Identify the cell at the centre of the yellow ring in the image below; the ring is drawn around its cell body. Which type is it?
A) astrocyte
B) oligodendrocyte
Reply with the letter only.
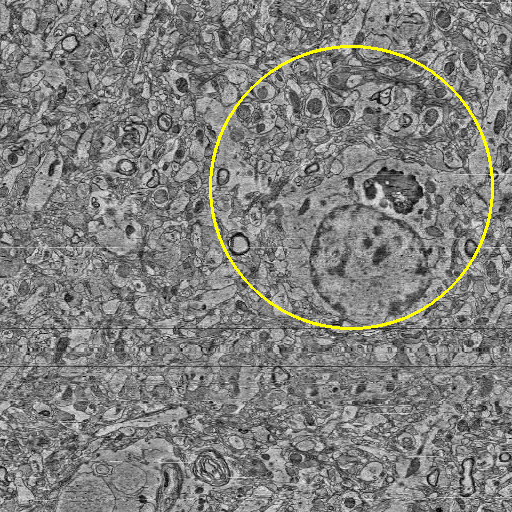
A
